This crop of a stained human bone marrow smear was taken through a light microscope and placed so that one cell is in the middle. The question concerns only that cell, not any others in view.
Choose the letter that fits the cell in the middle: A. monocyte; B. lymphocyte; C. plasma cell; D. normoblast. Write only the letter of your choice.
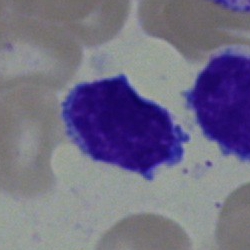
B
